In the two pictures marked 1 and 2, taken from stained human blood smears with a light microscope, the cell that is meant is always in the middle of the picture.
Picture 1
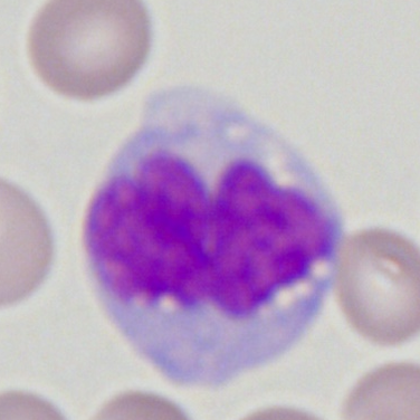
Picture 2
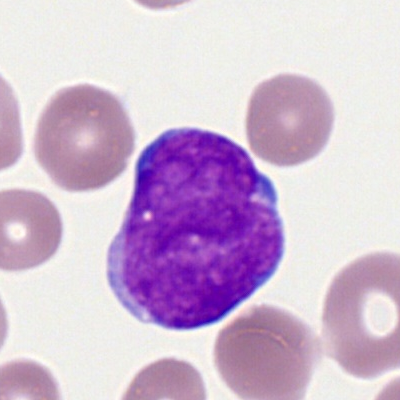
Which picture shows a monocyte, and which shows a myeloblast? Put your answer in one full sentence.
The cell in picture 1 is a monocyte, and the one in picture 2 is a myeloblast.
